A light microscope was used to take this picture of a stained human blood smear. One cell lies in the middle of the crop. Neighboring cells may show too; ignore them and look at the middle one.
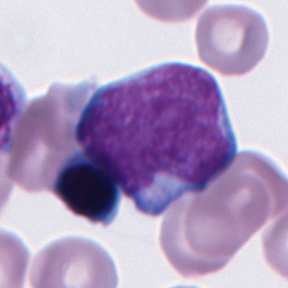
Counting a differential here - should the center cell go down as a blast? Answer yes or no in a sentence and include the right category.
Yes, the cell occupying the center is a blast.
